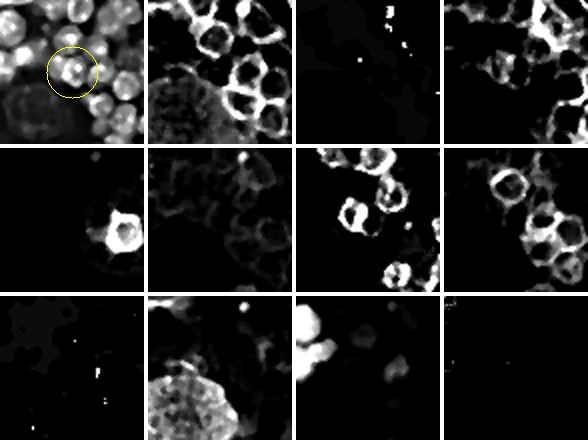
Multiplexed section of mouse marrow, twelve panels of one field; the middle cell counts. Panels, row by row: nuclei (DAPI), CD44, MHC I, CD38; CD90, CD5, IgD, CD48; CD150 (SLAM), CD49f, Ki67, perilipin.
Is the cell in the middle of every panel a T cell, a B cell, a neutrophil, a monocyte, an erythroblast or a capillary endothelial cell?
It is a B cell.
